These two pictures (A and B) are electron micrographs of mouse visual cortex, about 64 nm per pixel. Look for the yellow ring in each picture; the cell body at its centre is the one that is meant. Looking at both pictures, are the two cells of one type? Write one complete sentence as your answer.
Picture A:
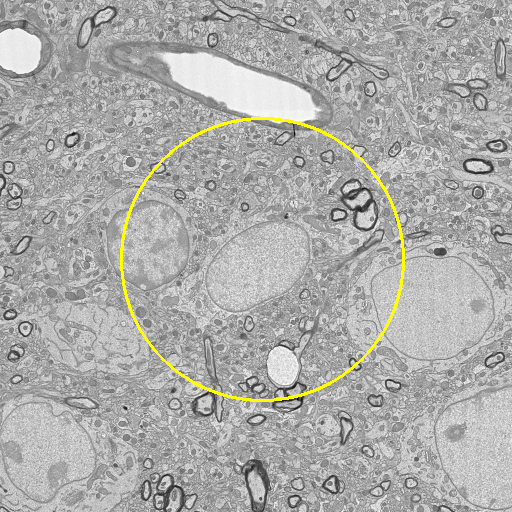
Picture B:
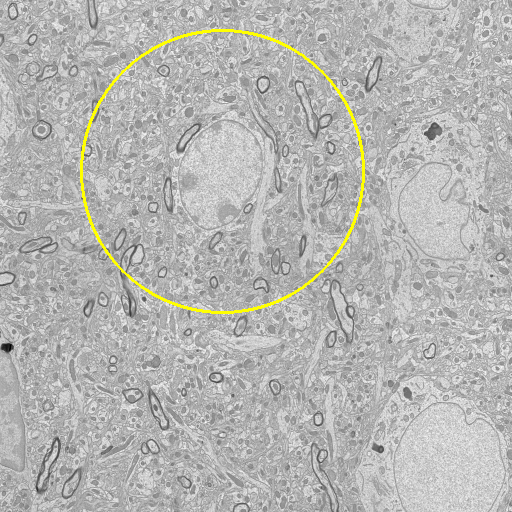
Yes, both are astrocytes.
